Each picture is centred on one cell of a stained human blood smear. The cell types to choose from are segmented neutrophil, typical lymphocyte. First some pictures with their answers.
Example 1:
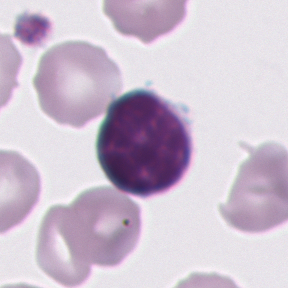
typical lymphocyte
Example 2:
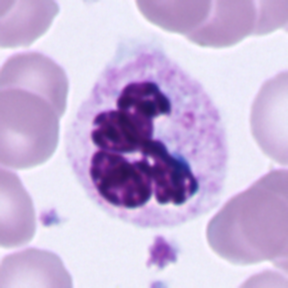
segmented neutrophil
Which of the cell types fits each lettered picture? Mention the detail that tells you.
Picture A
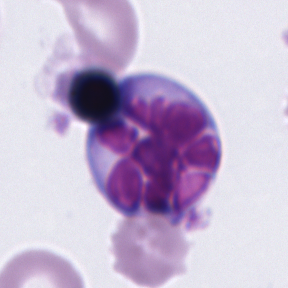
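Label: typical lymphocyte. The lobed nucleus fills most of the cell.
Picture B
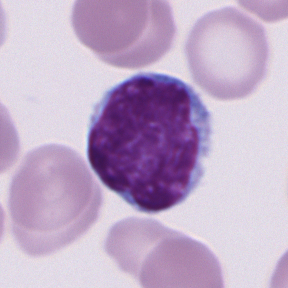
Label: typical lymphocyte. The cytoplasm forms only a narrow rim around the nucleus.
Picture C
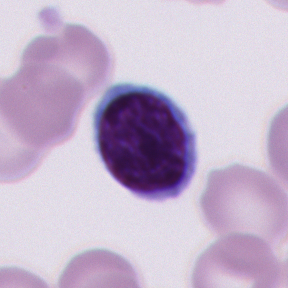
Label: typical lymphocyte. The cytoplasm forms only a thin rim around the nucleus.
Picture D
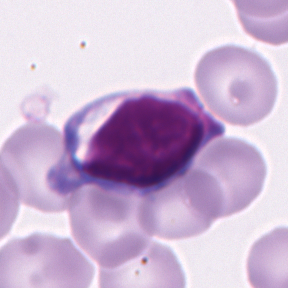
Label: typical lymphocyte. The nucleus fills most of the cell.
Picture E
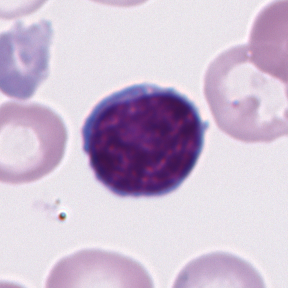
Label: typical lymphocyte. The cytoplasm forms only a thin rim around the nucleus.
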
